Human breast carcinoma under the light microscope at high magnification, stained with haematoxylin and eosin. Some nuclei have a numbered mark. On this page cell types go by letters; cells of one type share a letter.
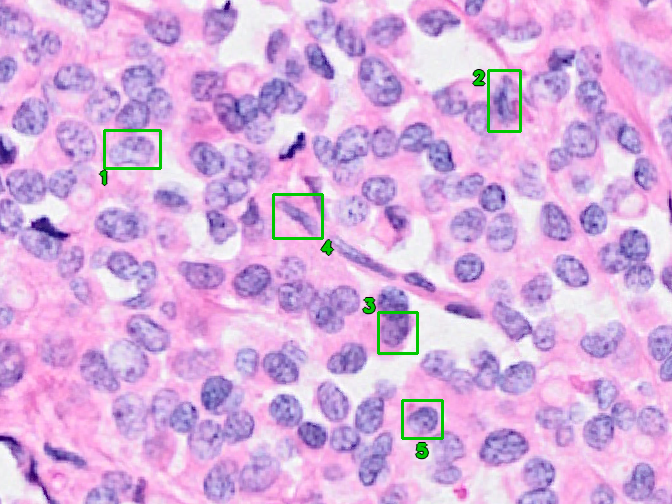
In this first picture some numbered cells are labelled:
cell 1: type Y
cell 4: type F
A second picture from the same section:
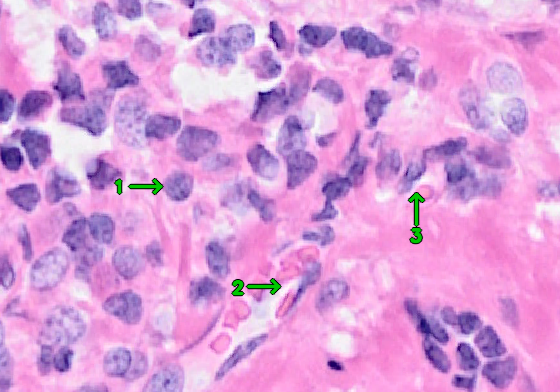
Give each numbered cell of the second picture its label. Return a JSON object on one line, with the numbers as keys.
{"1": "type Y", "2": "type F", "3": "type F"}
